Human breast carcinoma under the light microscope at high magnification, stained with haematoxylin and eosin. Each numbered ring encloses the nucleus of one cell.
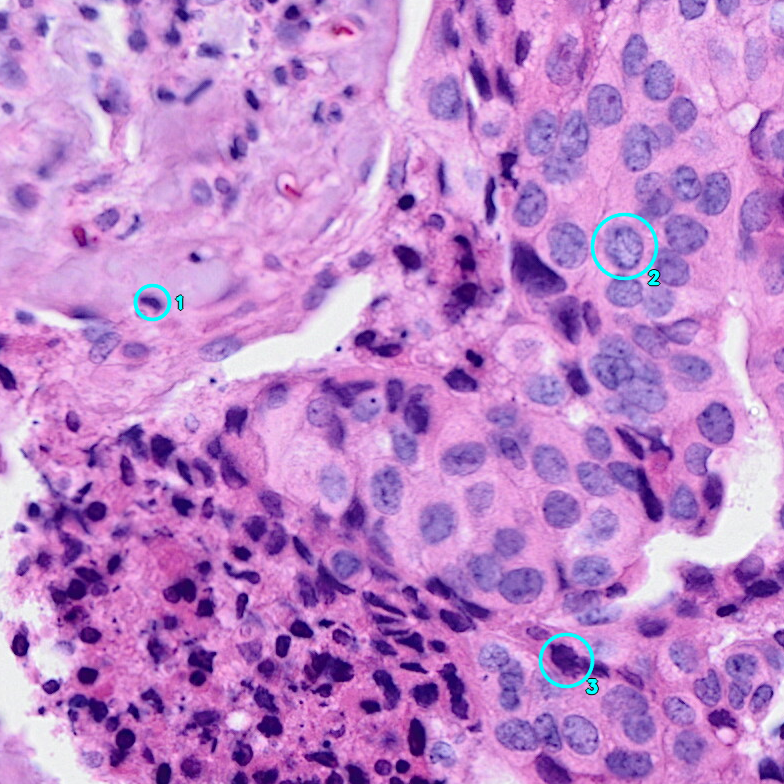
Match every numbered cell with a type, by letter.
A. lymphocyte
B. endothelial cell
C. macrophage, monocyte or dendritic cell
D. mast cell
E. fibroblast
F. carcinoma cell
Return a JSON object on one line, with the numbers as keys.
{"1": "A", "2": "F", "3": "F"}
